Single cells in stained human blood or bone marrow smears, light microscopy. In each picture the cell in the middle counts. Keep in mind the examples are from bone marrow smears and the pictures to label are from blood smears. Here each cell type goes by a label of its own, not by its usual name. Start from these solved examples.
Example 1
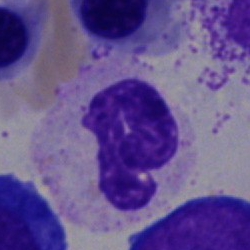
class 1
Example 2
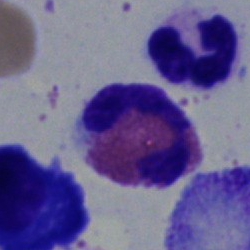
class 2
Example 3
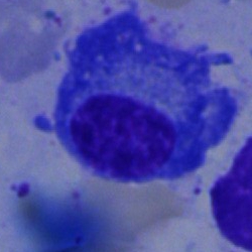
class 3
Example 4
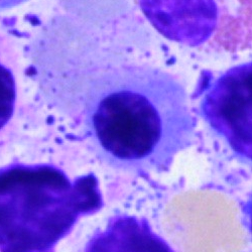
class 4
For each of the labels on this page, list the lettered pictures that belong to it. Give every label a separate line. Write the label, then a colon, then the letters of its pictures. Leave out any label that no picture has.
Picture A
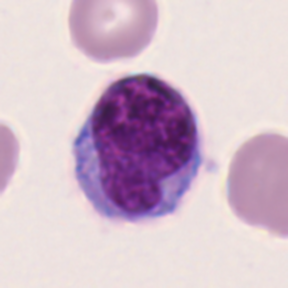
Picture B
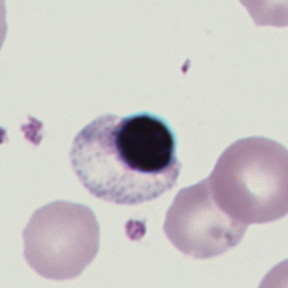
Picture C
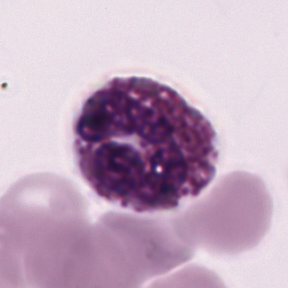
class 2: C
class 3: A
class 4: B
